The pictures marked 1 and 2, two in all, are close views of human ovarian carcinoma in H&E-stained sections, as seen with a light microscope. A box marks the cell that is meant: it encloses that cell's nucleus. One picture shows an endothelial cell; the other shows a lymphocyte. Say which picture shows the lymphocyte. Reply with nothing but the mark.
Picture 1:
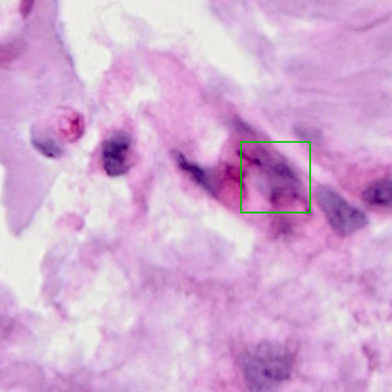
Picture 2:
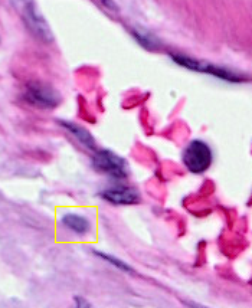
2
